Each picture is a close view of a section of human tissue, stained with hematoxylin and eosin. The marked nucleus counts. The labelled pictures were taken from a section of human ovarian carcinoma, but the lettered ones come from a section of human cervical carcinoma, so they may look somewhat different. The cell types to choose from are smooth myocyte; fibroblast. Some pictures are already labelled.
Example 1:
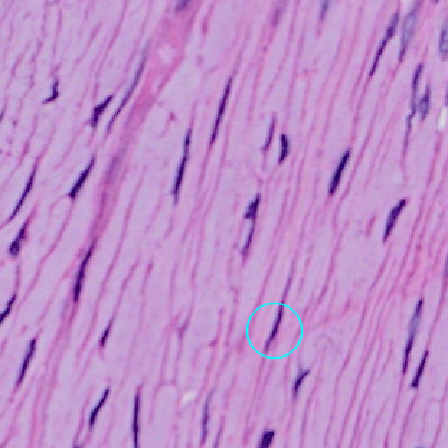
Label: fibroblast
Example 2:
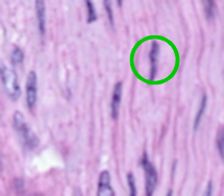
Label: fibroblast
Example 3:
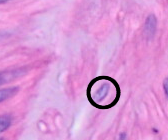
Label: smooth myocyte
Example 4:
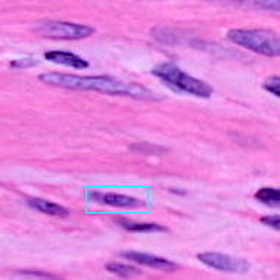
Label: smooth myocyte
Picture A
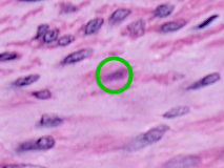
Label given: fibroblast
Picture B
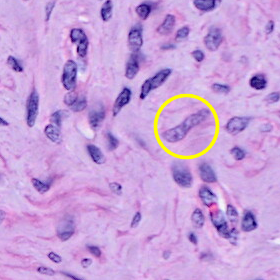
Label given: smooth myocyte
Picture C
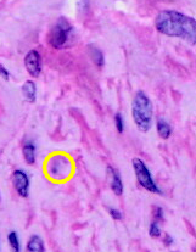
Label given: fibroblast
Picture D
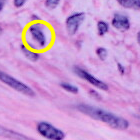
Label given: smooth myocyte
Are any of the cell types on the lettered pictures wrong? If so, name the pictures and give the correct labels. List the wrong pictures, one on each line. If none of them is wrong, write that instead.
A is labelled fibroblast; correct label: smooth myocyte
C is labelled fibroblast; correct label: smooth myocyte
